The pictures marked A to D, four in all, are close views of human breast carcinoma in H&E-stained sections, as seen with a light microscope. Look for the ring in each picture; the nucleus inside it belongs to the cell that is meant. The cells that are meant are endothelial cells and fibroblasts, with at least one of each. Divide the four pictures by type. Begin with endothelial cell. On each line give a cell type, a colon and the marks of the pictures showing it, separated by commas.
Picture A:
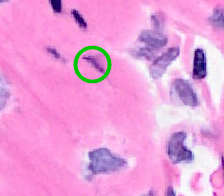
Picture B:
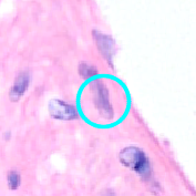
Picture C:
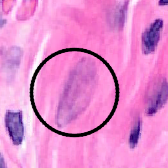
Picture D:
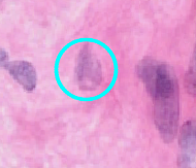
endothelial cell: B
fibroblast: A, C, D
